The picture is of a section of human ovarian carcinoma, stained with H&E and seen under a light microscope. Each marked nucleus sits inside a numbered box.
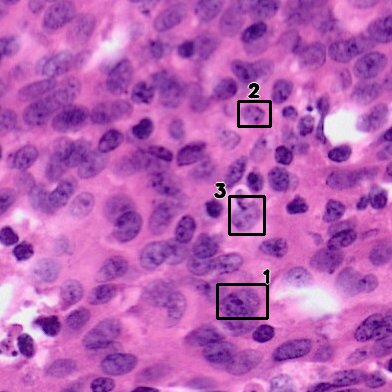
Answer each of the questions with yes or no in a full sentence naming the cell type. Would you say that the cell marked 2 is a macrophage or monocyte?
Yes, the cell that the number 2 labels is a macrophage or monocyte.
